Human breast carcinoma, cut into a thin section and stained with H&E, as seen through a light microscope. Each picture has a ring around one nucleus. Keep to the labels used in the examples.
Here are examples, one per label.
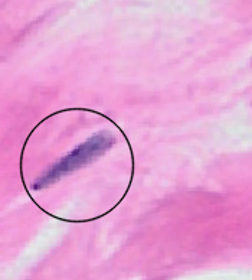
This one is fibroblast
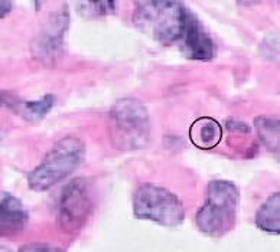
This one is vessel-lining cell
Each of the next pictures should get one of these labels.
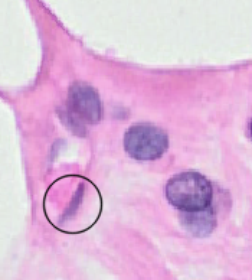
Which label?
vessel-lining cell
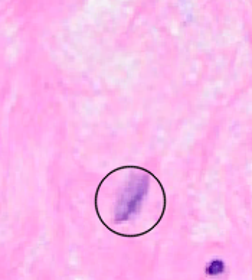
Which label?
fibroblast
